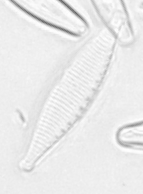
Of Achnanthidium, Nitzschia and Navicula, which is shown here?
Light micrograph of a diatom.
Nitzschia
